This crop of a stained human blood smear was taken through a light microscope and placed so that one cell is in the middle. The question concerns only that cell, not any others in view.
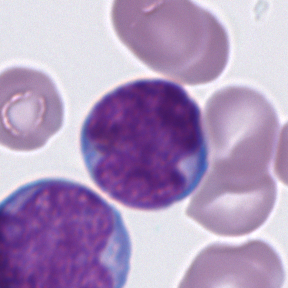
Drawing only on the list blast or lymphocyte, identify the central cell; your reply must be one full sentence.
Positioned in the middle of the crop is a blast.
